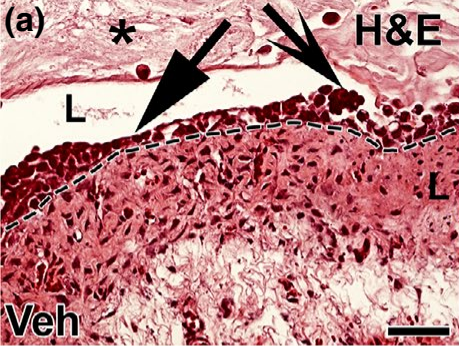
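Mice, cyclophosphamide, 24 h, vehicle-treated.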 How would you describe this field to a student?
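This section shows injured urothelium lining a lumen, above a stroma of loosely arranged cells. At the upper right, rounded darkly stained cells bulge from the surface and appear to be sloughing into the lumen. The lumen above contains loose, flaky pale pink debris with scattered dark round bodies. Below the dashed line, the stroma contains spindle-shaped nuclei in pink fibrous tissue.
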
